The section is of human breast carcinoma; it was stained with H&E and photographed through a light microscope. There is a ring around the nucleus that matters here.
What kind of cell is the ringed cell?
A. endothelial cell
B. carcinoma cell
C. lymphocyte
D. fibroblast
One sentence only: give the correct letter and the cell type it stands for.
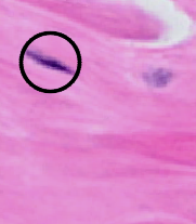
Option D matches the ringed cell, which is a fibroblast.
